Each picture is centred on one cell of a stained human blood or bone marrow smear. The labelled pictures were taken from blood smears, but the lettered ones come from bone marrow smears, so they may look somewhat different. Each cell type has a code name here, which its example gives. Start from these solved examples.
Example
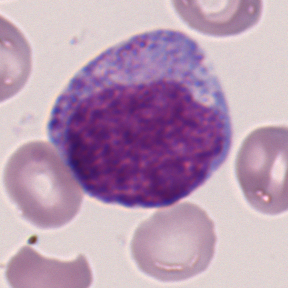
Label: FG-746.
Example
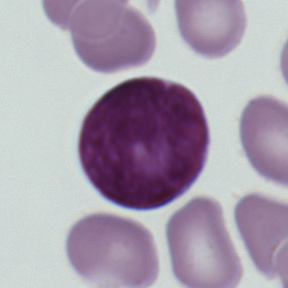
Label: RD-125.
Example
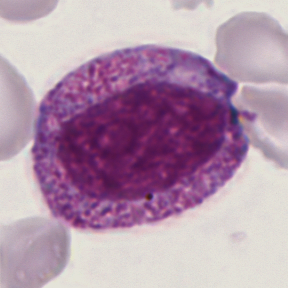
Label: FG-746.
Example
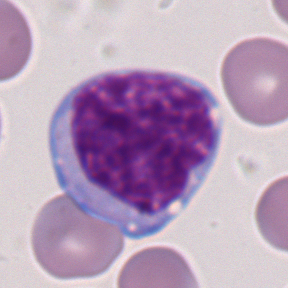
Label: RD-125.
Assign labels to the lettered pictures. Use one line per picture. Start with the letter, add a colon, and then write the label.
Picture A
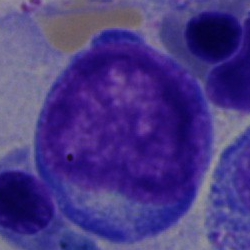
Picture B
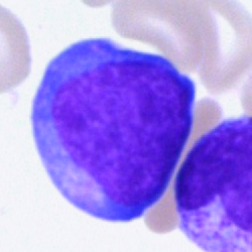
A: RD-125.
B: RD-125.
